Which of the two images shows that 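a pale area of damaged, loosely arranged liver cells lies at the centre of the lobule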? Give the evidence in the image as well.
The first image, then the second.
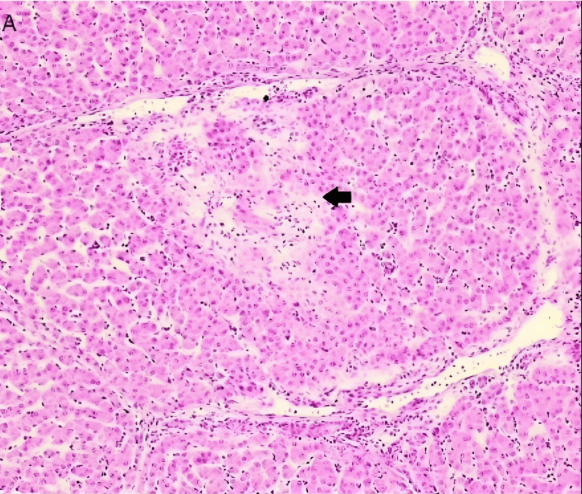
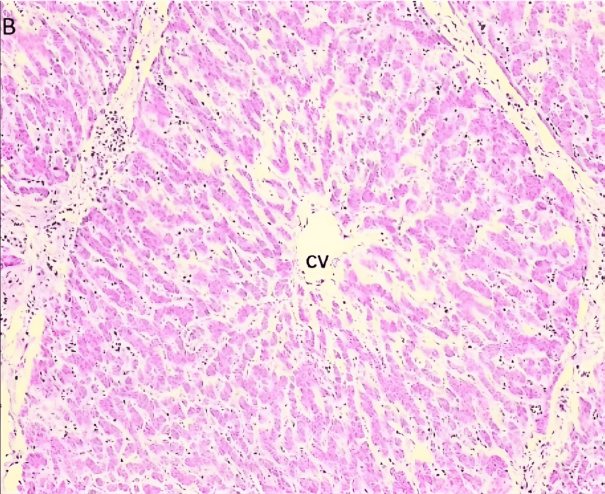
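Second image: liver cell cords radiate evenly from the central vein with no pale patch. First image: the centre of the lobule is a paler area of loosely arranged cells with scattered dark nuclei.
Conclusion: the first image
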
